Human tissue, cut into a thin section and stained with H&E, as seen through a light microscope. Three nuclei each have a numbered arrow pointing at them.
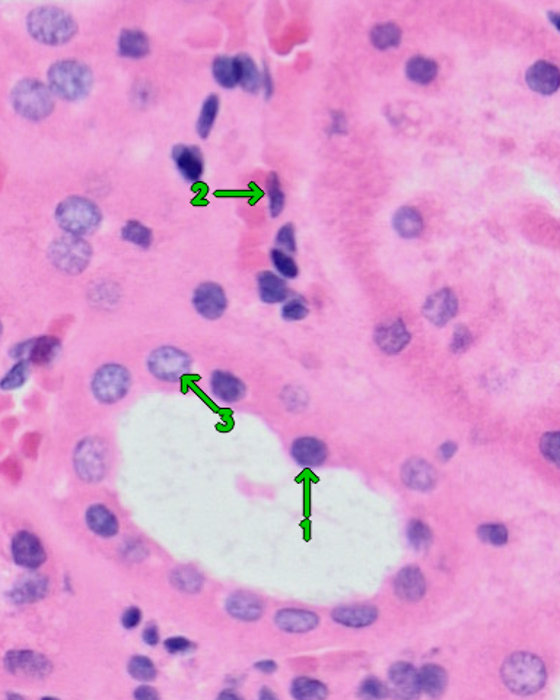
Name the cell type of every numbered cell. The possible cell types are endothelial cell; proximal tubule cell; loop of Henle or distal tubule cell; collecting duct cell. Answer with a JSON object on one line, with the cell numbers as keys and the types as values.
{"1": "loop of Henle or distal tubule cell", "2": "endothelial cell", "3": "loop of Henle or distal tubule cell"}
